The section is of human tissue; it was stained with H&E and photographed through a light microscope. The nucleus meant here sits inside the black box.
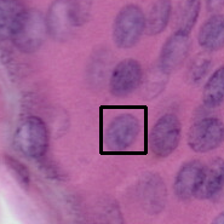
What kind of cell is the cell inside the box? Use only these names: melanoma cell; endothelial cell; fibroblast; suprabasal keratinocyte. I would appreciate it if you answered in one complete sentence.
By its classification, the cell inside the box is a suprabasal keratinocyte.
